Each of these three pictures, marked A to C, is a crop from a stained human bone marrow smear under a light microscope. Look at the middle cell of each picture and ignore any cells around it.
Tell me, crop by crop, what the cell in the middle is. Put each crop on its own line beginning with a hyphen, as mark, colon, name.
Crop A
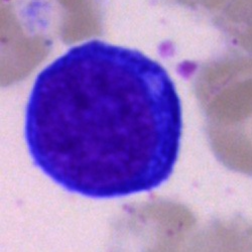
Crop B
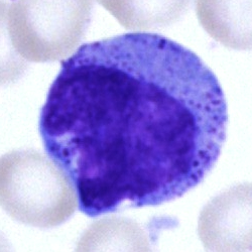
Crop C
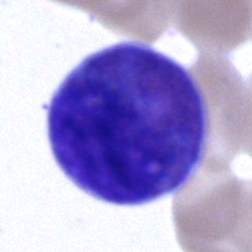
- A: proerythroblast
- B: promyelocyte
- C: eosinophil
